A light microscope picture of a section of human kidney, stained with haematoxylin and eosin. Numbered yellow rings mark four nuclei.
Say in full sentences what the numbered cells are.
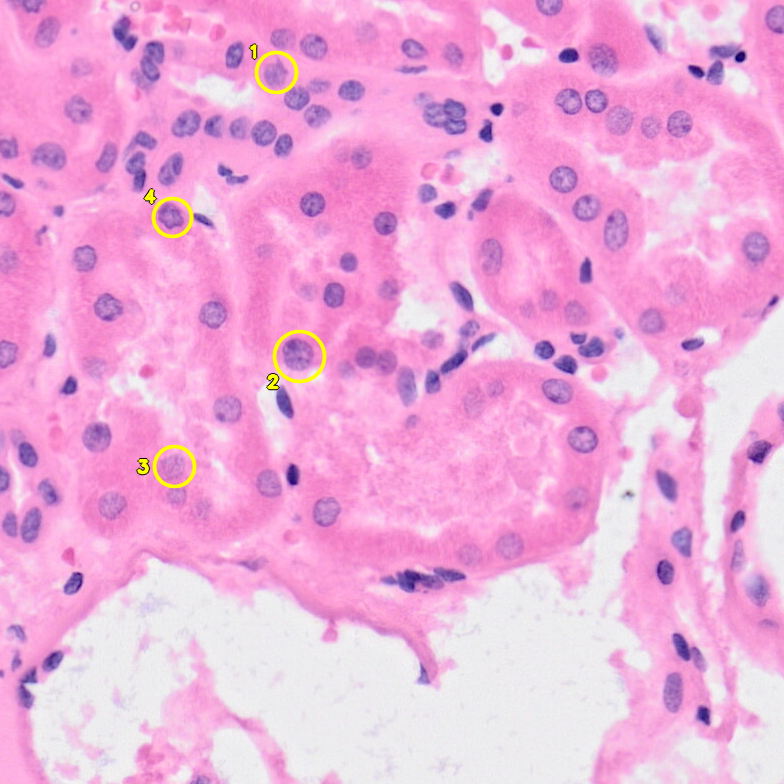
Cell 1 is a collecting duct cell. Cells 2, 3 and 4 are proximal tubule cells.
